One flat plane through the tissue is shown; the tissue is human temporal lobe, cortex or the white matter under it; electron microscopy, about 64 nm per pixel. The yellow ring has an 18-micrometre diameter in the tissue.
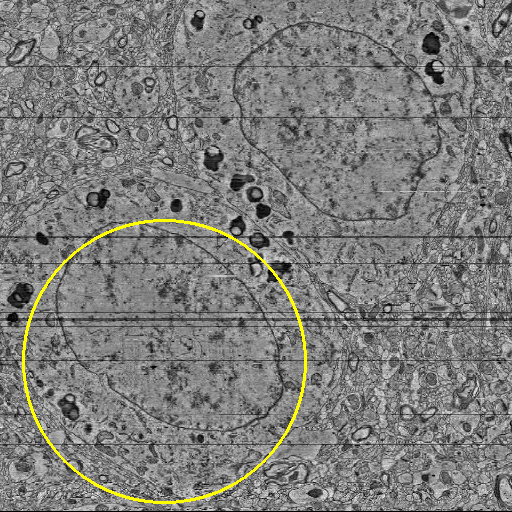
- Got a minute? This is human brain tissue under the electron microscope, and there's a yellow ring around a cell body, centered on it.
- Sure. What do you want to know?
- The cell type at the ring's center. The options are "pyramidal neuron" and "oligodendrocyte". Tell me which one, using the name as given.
pyramidal neuron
